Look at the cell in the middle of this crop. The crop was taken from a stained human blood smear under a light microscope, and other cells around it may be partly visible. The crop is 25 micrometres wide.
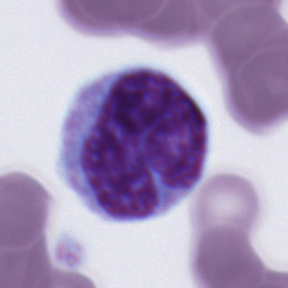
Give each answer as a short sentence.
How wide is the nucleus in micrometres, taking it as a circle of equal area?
The diameter of the nucleus comes to about 11 micrometres.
